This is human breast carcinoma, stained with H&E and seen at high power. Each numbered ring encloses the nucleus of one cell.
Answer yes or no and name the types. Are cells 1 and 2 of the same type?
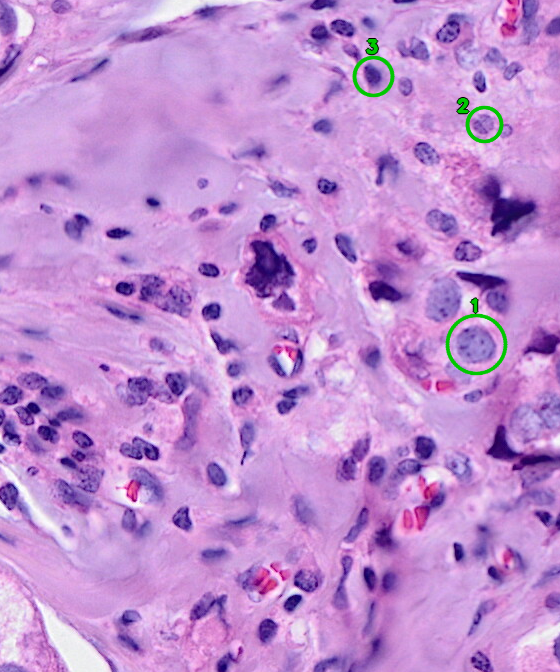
No, cell 1 is a carcinoma cell and cell 2 is a macrophage, monocyte or dendritic cell.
